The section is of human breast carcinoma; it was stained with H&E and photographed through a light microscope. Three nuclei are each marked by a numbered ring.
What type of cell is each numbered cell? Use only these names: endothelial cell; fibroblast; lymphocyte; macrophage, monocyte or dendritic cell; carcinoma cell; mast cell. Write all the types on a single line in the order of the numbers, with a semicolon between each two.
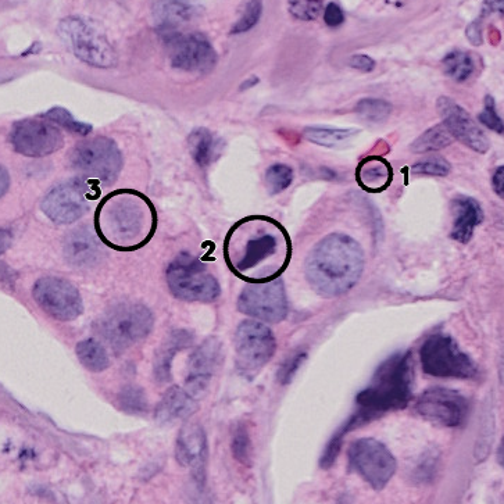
endothelial cell; carcinoma cell; carcinoma cell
